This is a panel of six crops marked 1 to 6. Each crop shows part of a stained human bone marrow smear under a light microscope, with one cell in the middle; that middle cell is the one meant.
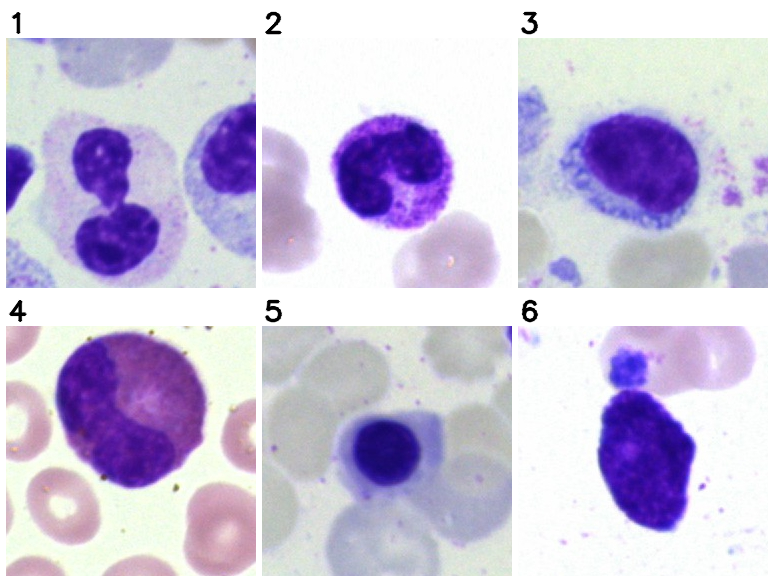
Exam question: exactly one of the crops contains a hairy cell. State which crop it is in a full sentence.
The crop marked 3 is the one in which a hairy cell is shown.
